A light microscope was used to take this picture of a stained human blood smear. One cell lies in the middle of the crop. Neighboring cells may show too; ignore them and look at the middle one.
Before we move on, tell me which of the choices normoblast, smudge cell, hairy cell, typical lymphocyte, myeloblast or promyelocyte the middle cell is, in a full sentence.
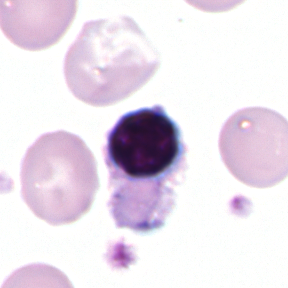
The central cell shown in this smear crop is a normoblast.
